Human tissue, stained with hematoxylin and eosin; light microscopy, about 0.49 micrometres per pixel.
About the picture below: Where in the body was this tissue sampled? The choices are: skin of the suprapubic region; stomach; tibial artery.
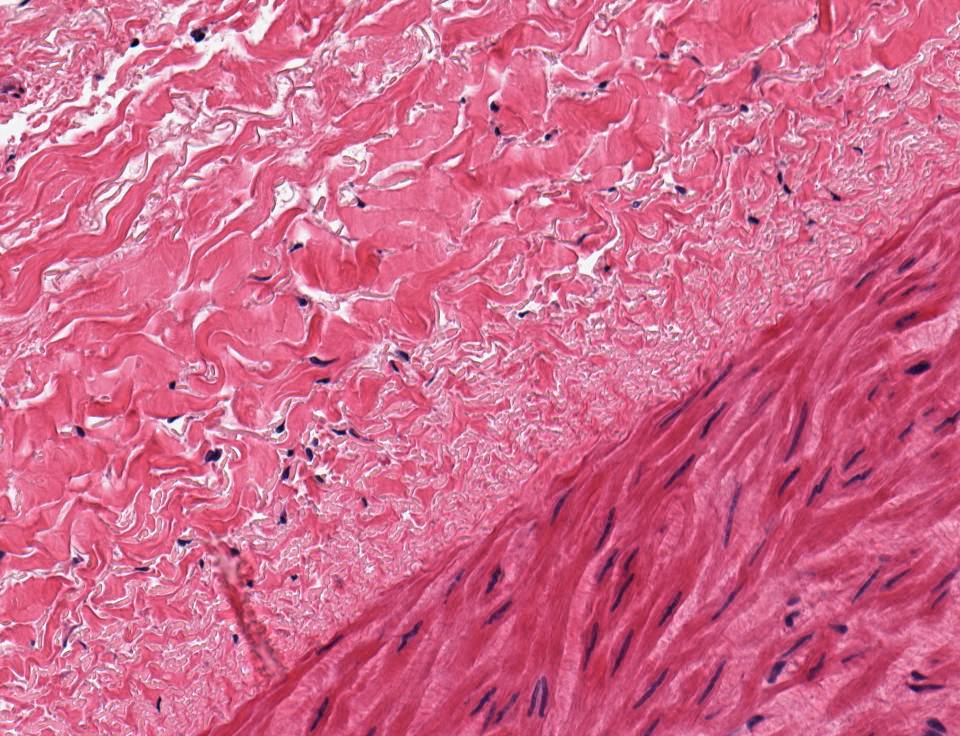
tibial artery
